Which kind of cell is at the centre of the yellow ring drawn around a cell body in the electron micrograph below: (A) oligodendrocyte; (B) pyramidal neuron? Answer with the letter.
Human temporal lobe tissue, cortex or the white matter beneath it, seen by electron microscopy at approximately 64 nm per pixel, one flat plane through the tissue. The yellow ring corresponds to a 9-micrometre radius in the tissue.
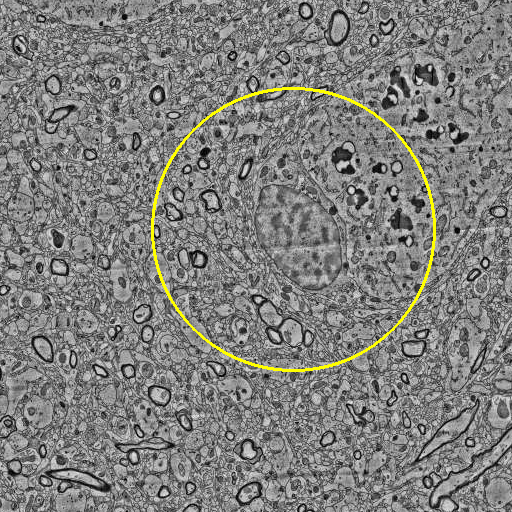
A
